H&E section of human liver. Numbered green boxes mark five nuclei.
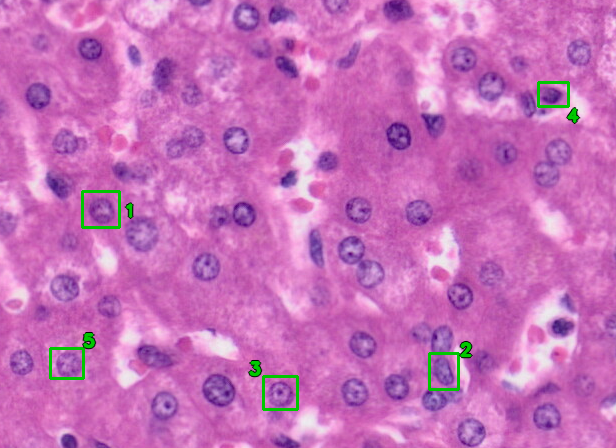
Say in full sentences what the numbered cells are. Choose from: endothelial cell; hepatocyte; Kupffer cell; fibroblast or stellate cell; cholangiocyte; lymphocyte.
Cells 1, 3 and 5 are hepatocytes. Cell 2 is a cholangiocyte. Cell 4 is a Kupffer cell.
